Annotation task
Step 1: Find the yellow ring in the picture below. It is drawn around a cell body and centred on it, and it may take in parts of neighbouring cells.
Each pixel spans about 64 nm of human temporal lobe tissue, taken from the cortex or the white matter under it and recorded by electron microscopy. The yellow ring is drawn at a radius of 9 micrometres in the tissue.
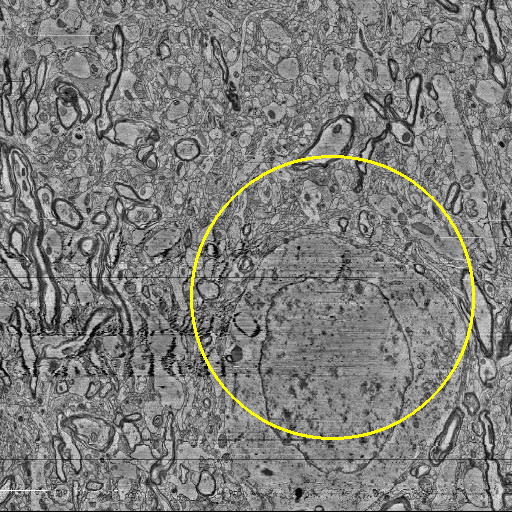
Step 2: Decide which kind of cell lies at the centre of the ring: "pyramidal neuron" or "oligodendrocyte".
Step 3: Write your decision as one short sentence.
The kind of cell at the ring's centre is a pyramidal neuron.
